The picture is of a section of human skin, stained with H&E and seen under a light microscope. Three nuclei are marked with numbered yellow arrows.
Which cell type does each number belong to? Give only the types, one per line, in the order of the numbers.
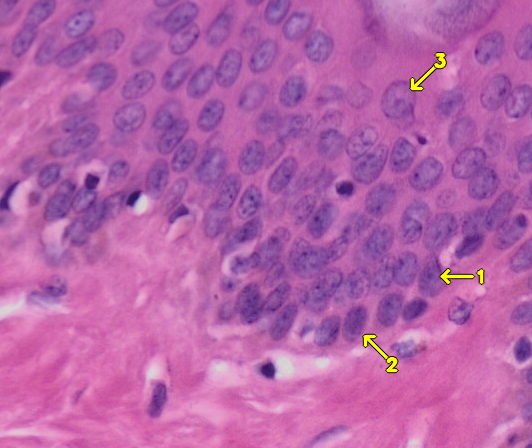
basal keratinocyte
basal keratinocyte
suprabasal keratinocyte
